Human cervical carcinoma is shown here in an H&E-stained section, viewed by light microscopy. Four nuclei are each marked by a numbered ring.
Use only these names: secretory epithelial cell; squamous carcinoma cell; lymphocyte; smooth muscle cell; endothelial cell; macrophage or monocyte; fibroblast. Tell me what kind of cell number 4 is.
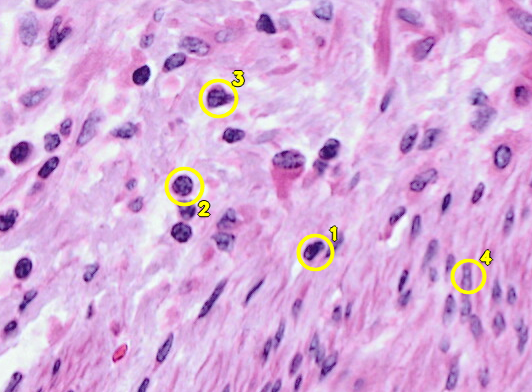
smooth muscle cell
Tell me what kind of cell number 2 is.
lymphocyte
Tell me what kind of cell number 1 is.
lymphocyte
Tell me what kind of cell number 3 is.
lymphocyte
